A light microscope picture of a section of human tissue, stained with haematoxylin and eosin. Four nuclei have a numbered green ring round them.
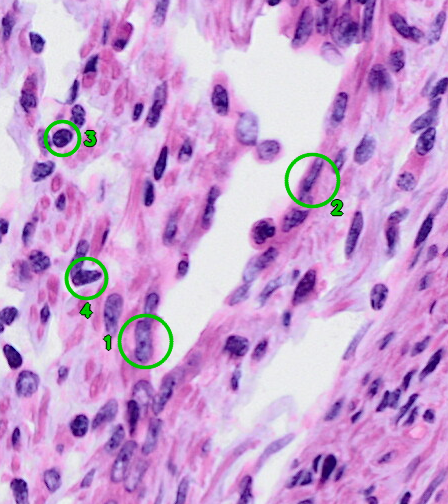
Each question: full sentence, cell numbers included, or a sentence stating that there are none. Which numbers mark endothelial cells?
Marked by the numbers 1 and 2 are cells that are endothelial cells.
